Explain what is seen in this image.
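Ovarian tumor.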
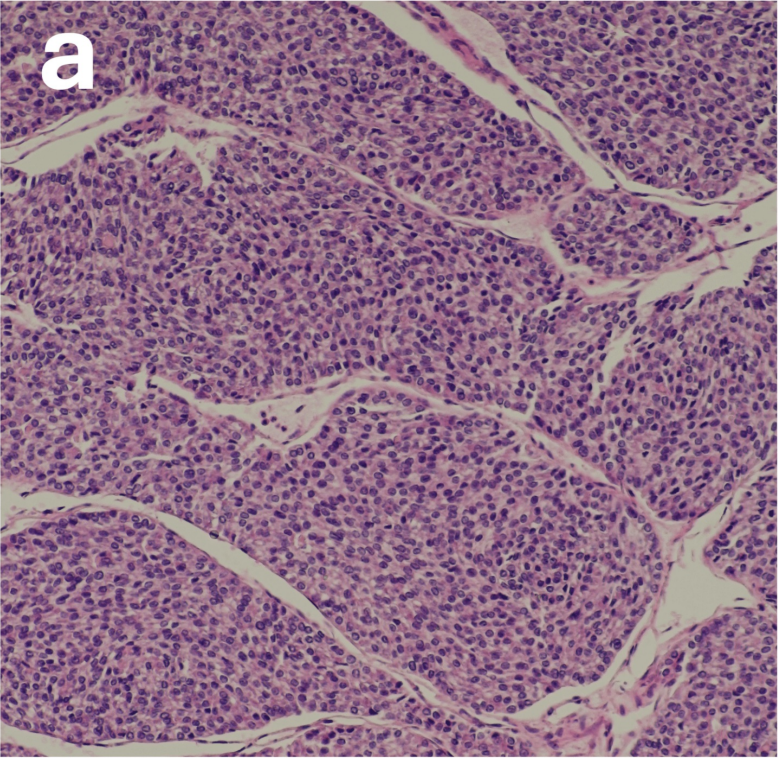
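The cells are fairly uniform, with round to oval dark purple nuclei and scant pale pink cytoplasm. The cell masses are divided by thin, delicate strands of fibrovascular stroma with clefts alongside them. No lumina or glandular spaces are formed.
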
